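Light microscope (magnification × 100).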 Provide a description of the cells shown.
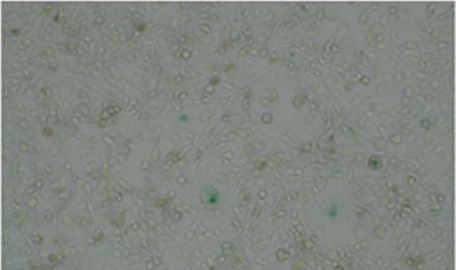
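Only a few scattered cells carry a blue-green colour in their cytoplasm, standing out against the many pale cells around them. The cells are densely packed across the field, with no particular arrangement.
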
